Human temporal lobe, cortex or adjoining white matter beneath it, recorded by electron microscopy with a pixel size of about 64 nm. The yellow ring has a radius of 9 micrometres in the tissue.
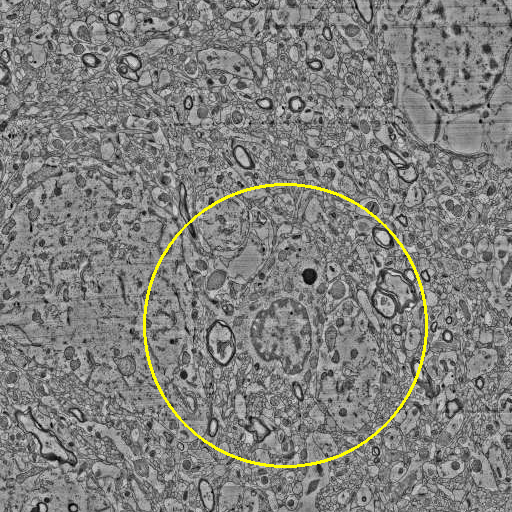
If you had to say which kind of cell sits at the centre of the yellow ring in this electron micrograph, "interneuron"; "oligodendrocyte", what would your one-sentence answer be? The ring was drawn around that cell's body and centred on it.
The cell sitting at the centre of the ring is an oligodendrocyte.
